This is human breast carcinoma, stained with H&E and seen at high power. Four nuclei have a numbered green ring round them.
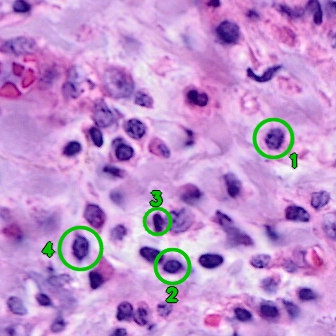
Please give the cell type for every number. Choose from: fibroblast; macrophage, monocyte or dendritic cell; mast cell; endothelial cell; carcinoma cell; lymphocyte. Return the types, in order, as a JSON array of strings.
["mast cell", "lymphocyte", "lymphocyte", "lymphocyte"]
